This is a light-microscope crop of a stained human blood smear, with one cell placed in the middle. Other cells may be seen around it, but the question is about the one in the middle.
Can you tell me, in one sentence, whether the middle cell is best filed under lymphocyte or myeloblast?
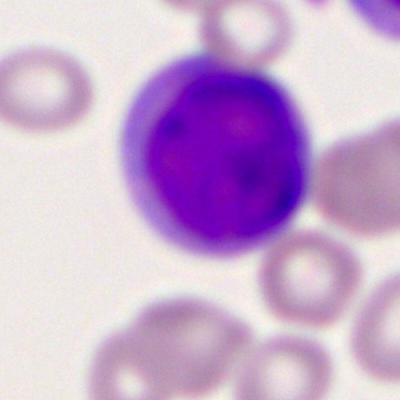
The cell of interest, located centrally, is a myeloblast.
